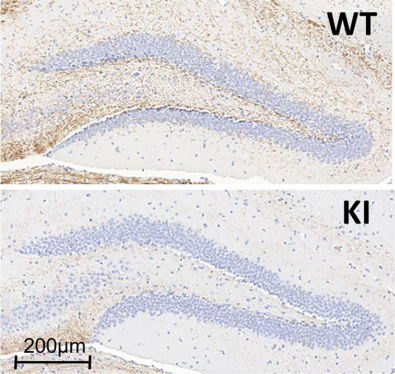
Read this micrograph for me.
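Two sections of hippocampus show a curved, V-shaped band of densely packed cells with blue-counterstained round nuclei. A diffuse pale brown stain with fine fibre-like streaks fills the tissue around the band, stronger along the lower left margin. The packed cell band itself stays mostly blue. The brown stain in the lower section looks fainter than in the upper one.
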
